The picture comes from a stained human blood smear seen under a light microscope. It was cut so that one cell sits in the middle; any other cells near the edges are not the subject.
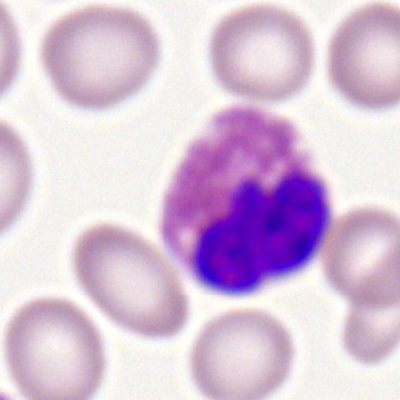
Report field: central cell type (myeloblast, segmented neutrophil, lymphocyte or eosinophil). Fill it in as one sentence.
Answering briefly, the cell in the middle is an eosinophil.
